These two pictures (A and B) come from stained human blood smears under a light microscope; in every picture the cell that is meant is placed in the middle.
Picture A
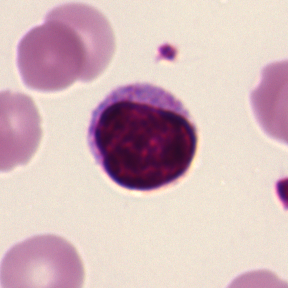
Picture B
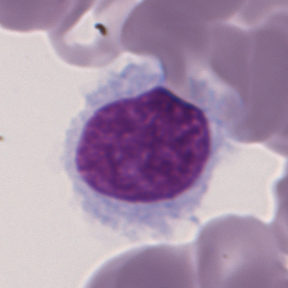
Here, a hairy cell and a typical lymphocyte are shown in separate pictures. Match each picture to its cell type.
A: typical lymphocyte
B: hairy cell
